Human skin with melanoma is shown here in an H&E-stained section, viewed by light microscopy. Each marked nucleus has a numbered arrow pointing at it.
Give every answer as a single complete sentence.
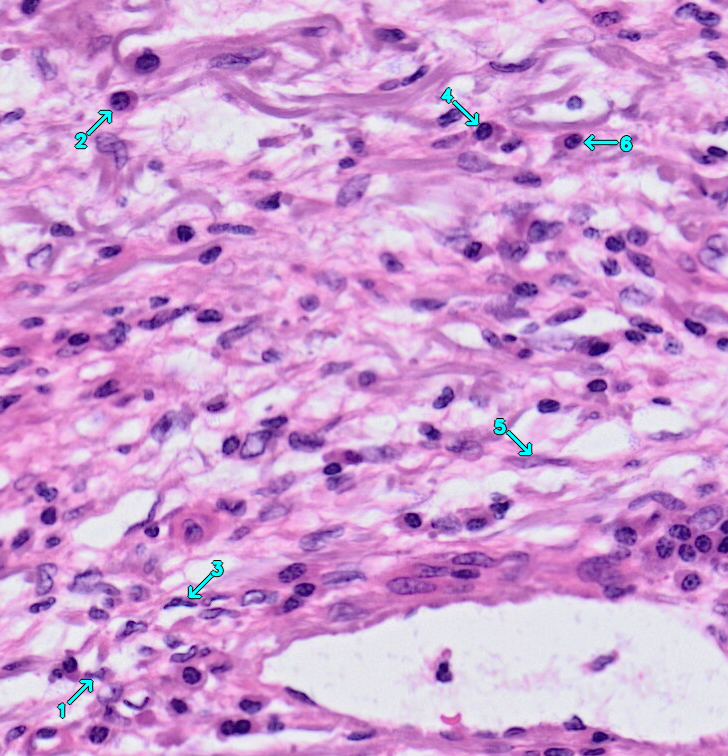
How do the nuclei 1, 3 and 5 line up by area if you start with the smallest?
By area, going up from the smallest, they rank 1, 3, 5.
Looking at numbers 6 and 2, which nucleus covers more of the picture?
Number 2 is larger; its area is about 1.5 times that of number 6.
